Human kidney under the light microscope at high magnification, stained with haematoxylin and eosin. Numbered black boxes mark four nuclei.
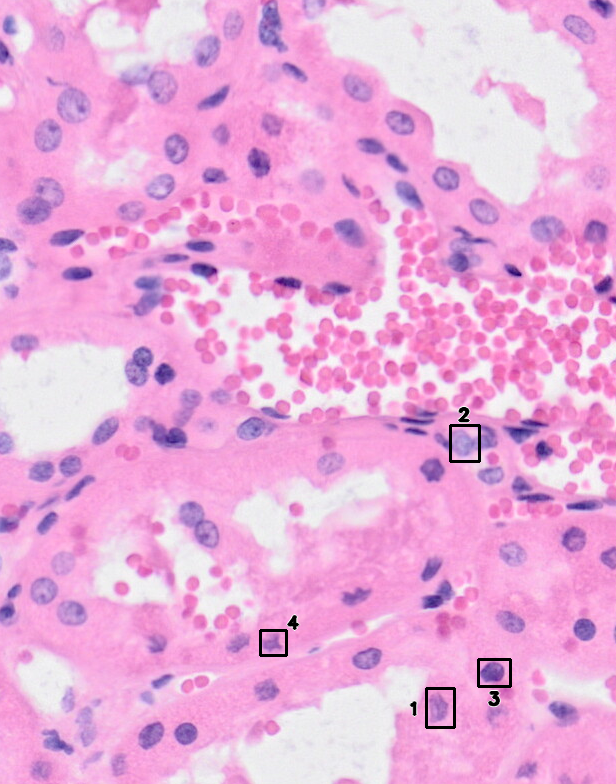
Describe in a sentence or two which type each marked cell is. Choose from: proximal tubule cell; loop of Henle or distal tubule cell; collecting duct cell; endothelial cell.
Cells 1, 3 and 4 are proximal tubule cells. Cell 2 is a collecting duct cell.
